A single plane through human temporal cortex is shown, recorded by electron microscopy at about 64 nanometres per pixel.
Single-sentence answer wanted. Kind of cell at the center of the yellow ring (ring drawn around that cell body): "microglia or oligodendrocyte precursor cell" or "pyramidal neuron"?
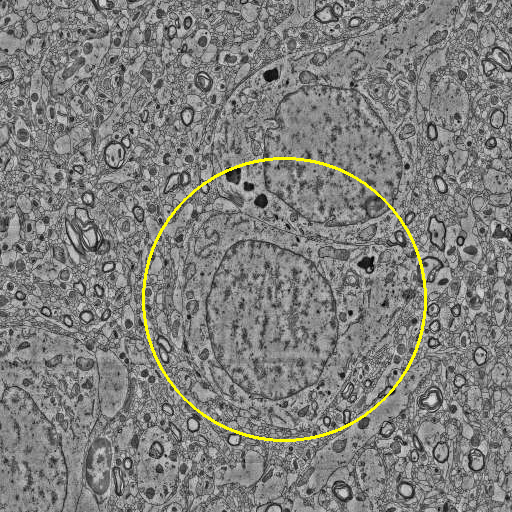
The cell centered in the ring is a pyramidal neuron.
